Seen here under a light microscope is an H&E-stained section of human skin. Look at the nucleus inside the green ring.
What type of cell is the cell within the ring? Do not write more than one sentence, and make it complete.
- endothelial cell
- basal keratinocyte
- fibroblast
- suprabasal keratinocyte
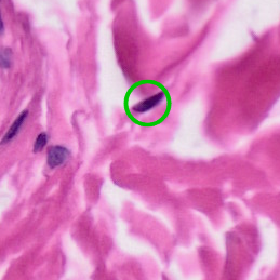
In the stained section, the cell within the ring is a fibroblast.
